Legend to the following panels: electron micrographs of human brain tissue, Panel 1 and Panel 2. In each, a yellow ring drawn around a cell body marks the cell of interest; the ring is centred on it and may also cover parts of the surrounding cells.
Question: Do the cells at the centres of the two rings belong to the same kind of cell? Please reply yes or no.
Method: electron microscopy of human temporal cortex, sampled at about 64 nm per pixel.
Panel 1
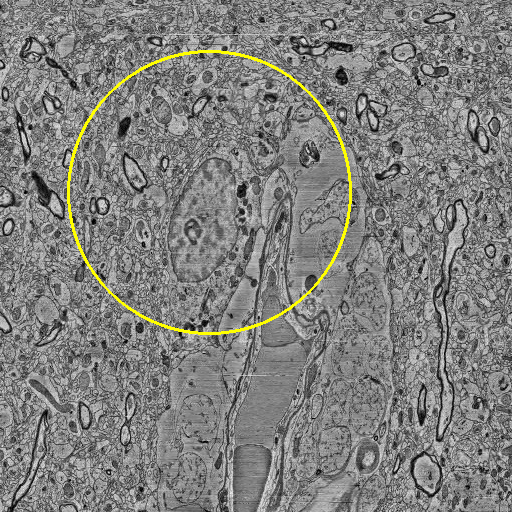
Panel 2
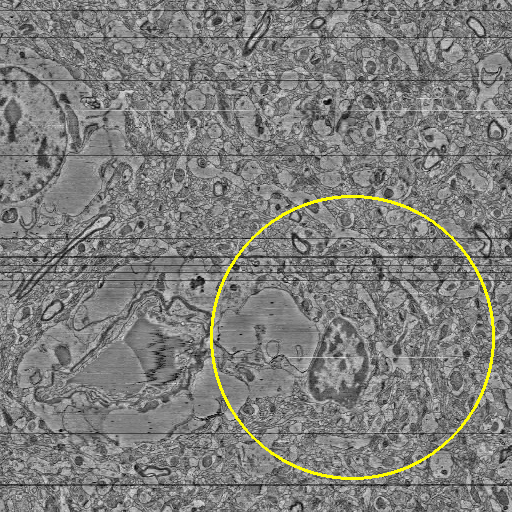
no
